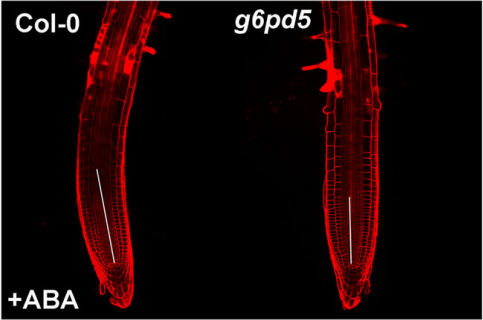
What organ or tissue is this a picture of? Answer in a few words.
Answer: Root meristems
